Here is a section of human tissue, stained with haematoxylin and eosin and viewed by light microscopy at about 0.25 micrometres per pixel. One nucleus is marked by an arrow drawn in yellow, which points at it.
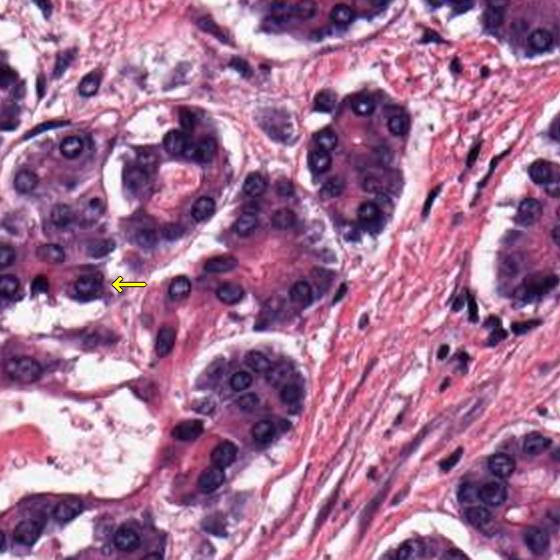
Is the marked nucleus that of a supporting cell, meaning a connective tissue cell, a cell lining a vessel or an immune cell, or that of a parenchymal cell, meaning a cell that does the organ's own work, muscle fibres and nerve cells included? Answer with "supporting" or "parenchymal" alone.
parenchymal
